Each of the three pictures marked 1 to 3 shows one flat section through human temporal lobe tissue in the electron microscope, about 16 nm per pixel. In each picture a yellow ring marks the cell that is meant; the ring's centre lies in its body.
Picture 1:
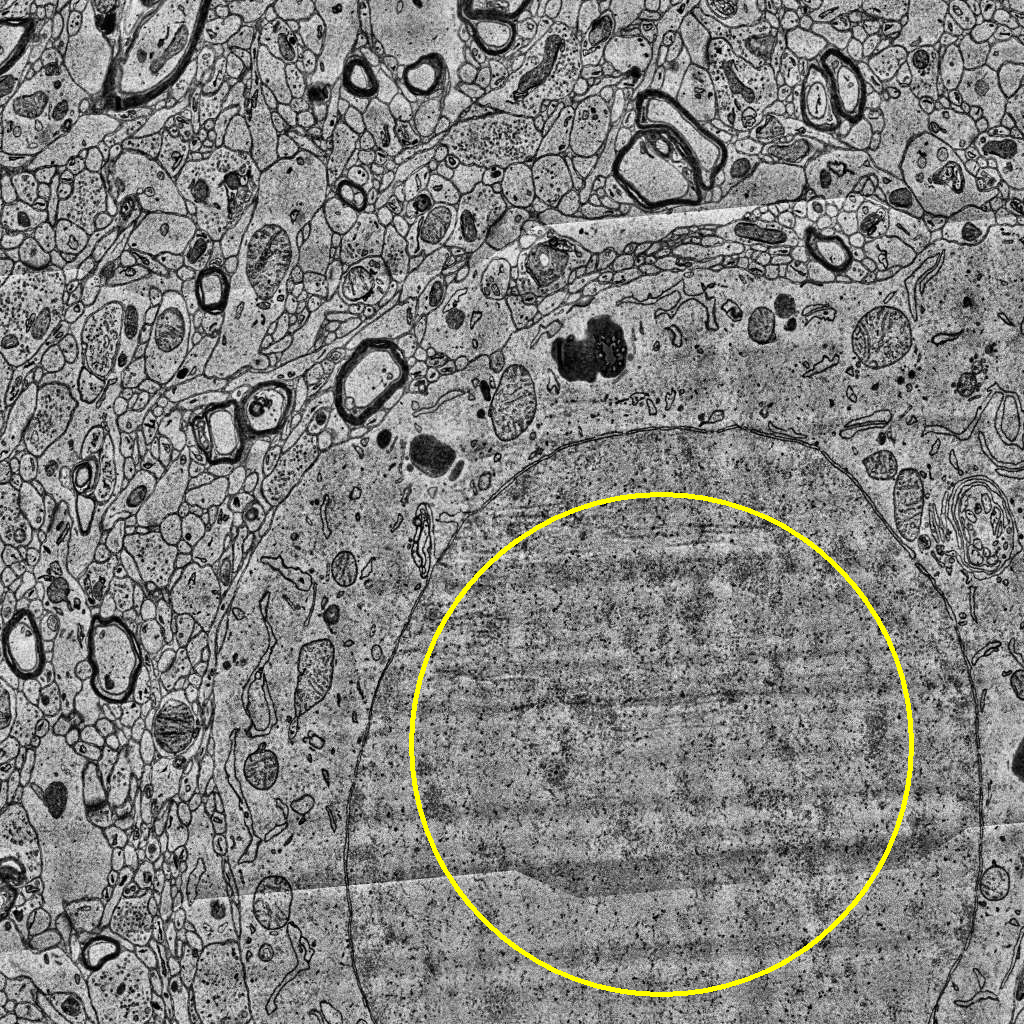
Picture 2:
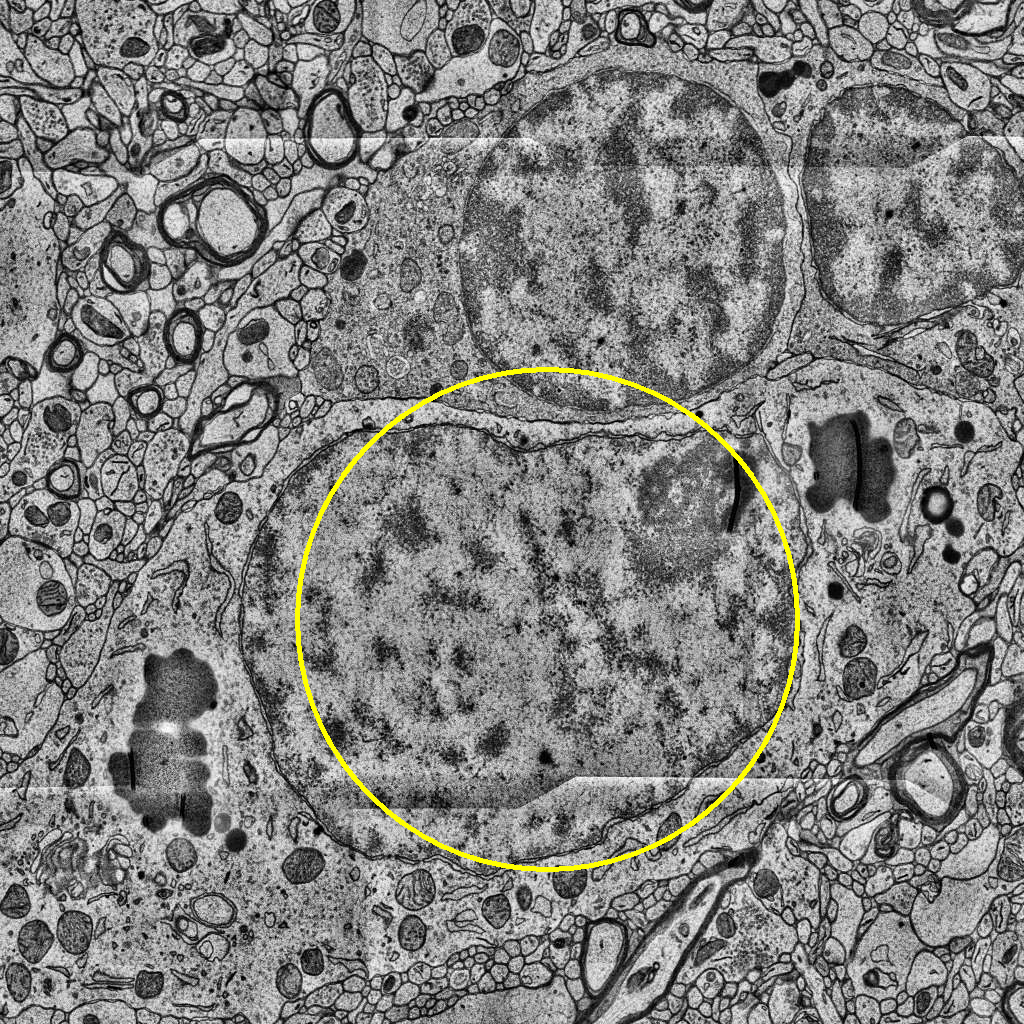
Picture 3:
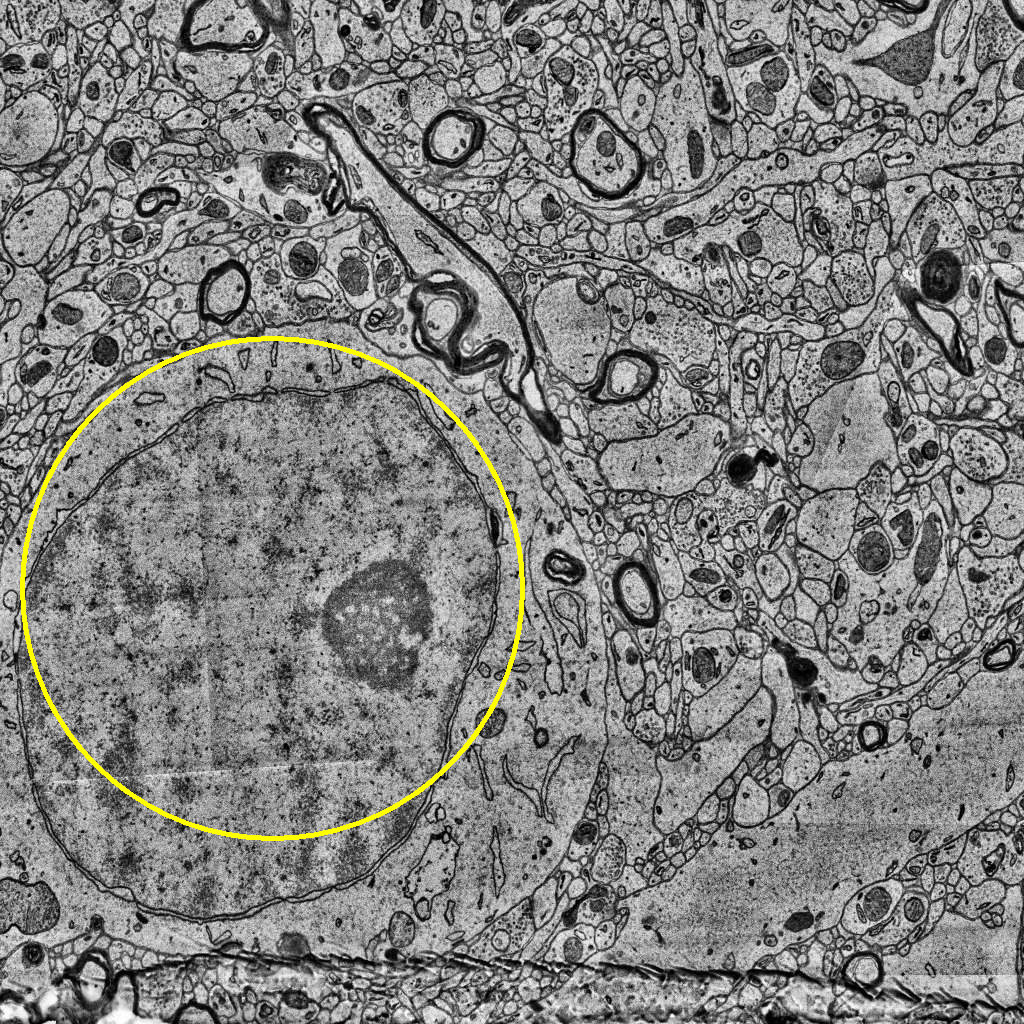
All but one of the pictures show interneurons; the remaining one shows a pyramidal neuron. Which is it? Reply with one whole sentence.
The cell in picture 1 is the pyramidal neuron.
